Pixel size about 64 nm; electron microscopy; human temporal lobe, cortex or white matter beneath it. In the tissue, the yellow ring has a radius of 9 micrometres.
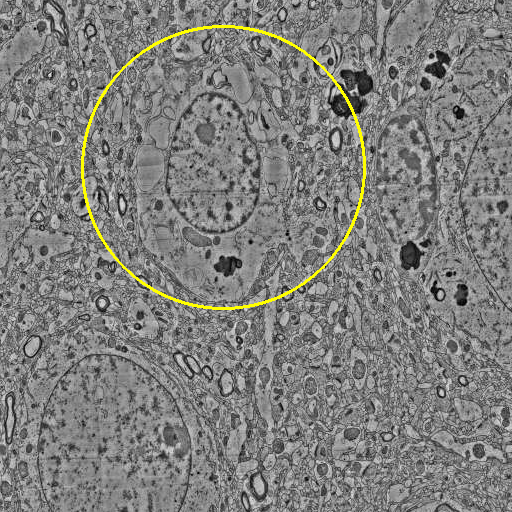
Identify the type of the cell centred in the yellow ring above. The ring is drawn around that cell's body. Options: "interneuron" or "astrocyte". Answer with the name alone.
astrocyte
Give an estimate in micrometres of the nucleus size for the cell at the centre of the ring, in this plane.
In this plane the nucleus is about 9 micrometres by 6.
